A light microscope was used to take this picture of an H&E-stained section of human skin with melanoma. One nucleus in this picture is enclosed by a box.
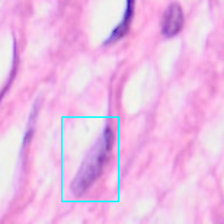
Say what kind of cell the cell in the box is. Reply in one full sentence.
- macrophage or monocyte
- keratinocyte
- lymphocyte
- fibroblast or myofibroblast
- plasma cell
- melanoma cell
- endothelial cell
This is a fibroblast or myofibroblast.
